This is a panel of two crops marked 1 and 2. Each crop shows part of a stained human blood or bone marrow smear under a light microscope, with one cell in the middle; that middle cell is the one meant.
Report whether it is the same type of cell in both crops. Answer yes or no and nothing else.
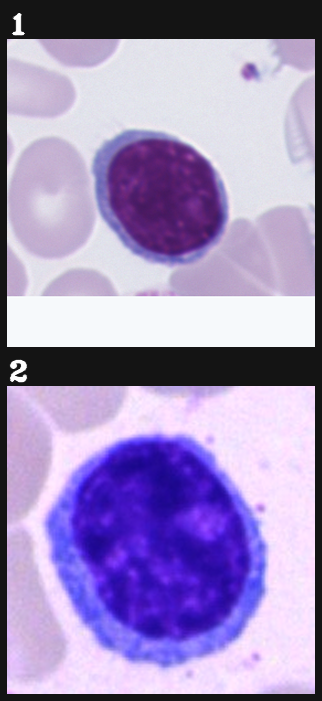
yes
